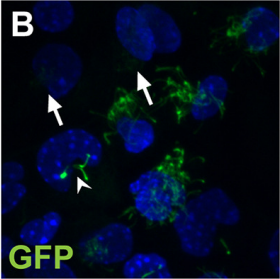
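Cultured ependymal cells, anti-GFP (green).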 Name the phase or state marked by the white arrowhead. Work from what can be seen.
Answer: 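Sparsely ciliated. The arrowhead points to a cell with only a few short green filaments. Neighbouring cells bear dense tufts of filaments.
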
